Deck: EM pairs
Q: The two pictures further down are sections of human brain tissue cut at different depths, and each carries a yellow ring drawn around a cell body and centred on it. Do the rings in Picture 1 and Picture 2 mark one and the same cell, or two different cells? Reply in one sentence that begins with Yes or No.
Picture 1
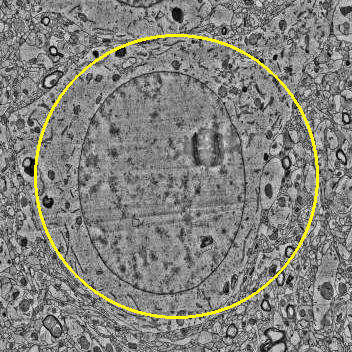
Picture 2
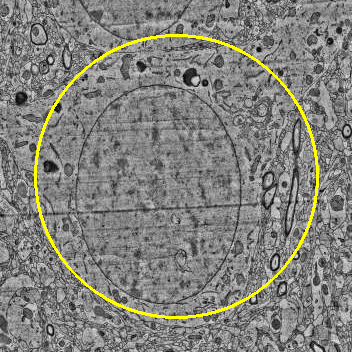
Yes, one cell accounts for both of the yellow rings.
